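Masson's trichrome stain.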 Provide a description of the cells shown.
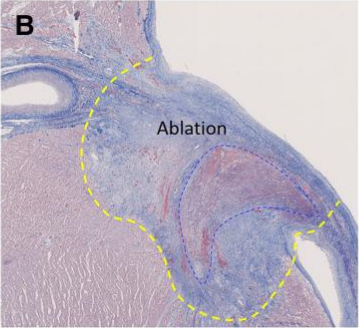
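A broad, irregular zone stains blue and pale in place of the red-stained muscle that fills the lower part of the section. The ordinary muscle fibres end abruptly at the border of the blue zone.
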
